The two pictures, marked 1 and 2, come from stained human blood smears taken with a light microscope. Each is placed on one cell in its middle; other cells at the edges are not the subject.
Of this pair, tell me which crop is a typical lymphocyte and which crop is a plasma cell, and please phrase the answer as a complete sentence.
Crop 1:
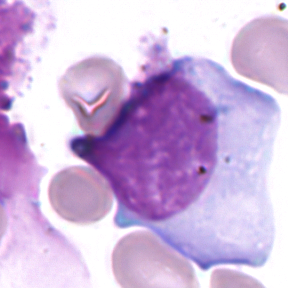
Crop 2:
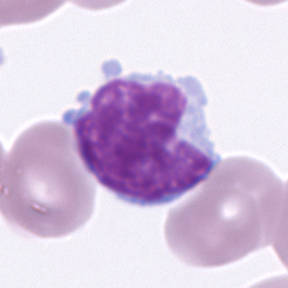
Crop 1 is a plasma cell, whereas a typical lymphocyte is found in crop 2.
